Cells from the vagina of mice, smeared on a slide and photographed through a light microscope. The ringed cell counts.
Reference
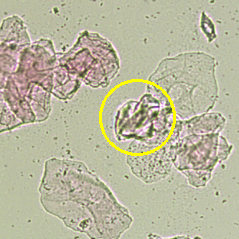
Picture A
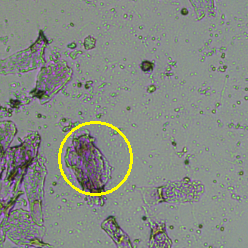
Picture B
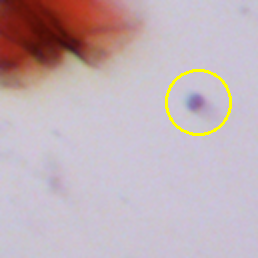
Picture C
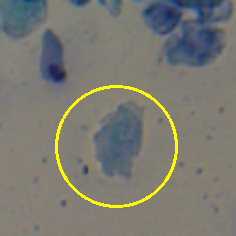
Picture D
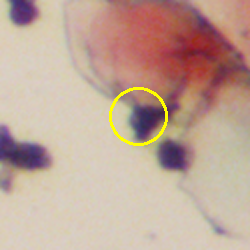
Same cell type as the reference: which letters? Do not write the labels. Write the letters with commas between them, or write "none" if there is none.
A, C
